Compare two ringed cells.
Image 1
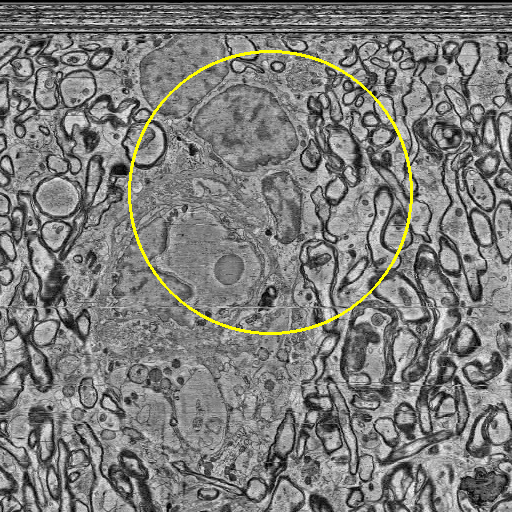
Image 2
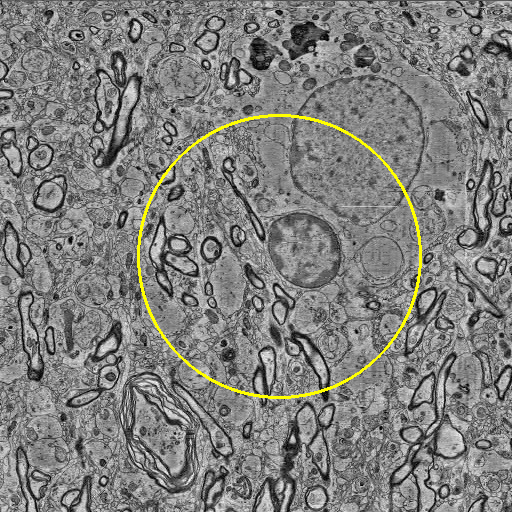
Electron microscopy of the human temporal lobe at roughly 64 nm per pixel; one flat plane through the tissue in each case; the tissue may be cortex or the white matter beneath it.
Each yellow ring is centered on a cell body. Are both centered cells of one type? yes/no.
yes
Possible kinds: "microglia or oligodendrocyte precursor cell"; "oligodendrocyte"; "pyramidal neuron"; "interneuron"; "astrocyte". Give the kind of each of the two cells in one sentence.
Both cells are the same kind, each one being a microglial cell or oligodendrocyte precursor cell.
